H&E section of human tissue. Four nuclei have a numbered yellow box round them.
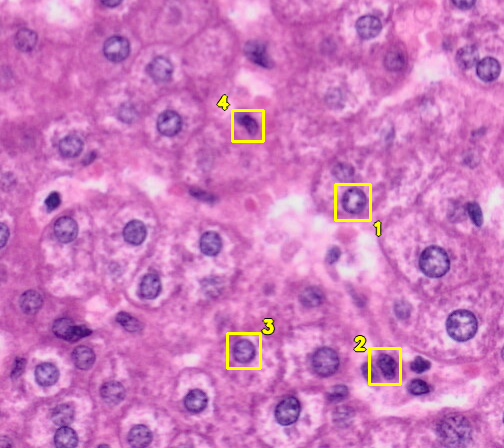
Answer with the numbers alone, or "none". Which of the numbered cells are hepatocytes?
1, 3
